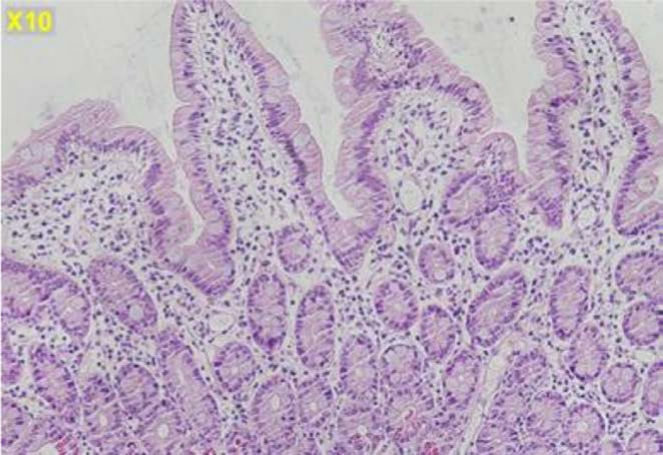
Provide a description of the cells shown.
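Small-intestinal mucosa with tall villi lined by a single layer of columnar epithelial cells with basal, elongated nuclei and pale pink cytoplasm, interspersed with clear goblet cells. The villous cores and the space between the round crypts below contain loose stroma with many small dark round lymphocyte nuclei, and a few such nuclei also lie within the surface epithelium. The crypts are cut across as rings of columnar cells around small lumens and are not enlarged.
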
